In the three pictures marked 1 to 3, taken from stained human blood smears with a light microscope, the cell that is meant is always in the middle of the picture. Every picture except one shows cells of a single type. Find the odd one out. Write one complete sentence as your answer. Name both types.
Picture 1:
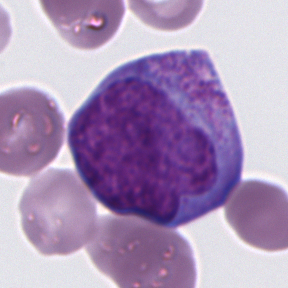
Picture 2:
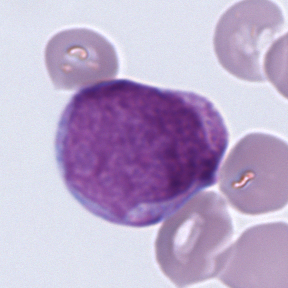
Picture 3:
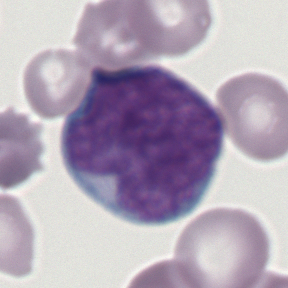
Picture 3 is the odd one out: it shows a myeloblast, while the others show atypical promyelocytes.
